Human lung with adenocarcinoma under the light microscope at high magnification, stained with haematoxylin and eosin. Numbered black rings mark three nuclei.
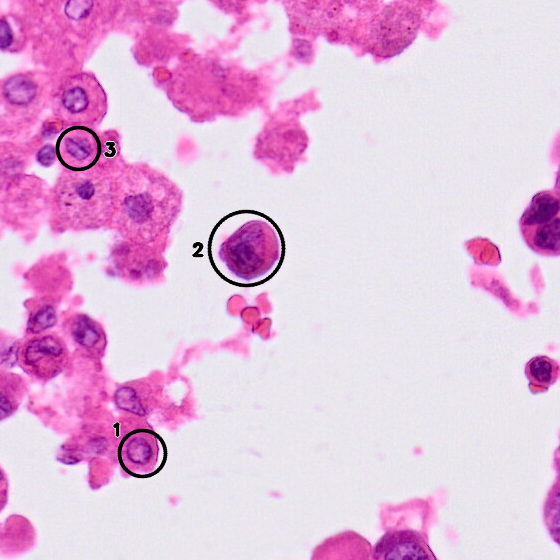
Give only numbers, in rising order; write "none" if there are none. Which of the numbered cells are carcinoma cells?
2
